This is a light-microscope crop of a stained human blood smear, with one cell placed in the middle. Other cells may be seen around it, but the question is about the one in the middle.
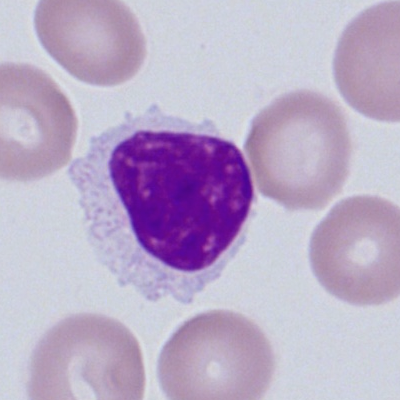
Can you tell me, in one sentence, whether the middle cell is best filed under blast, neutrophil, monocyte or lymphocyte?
For this crop, the central cell is a lymphocyte.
